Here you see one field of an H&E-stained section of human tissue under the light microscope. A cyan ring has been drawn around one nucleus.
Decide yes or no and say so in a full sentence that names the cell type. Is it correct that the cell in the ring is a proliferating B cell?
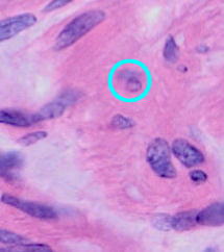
No, the cell in the ring is a smooth muscle cell, and it is not a proliferating B cell.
